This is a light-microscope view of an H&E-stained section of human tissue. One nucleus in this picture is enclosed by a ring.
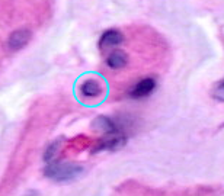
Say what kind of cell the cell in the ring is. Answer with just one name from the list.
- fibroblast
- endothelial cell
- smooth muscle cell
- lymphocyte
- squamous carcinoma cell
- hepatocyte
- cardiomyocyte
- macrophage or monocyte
smooth muscle cell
